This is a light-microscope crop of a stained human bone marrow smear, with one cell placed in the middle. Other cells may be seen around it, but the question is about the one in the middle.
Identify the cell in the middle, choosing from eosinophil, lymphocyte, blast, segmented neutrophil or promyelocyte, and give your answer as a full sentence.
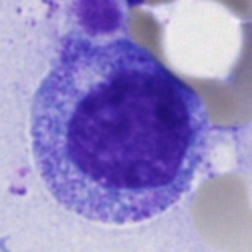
The single cell at the center of the crop is a promyelocyte.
